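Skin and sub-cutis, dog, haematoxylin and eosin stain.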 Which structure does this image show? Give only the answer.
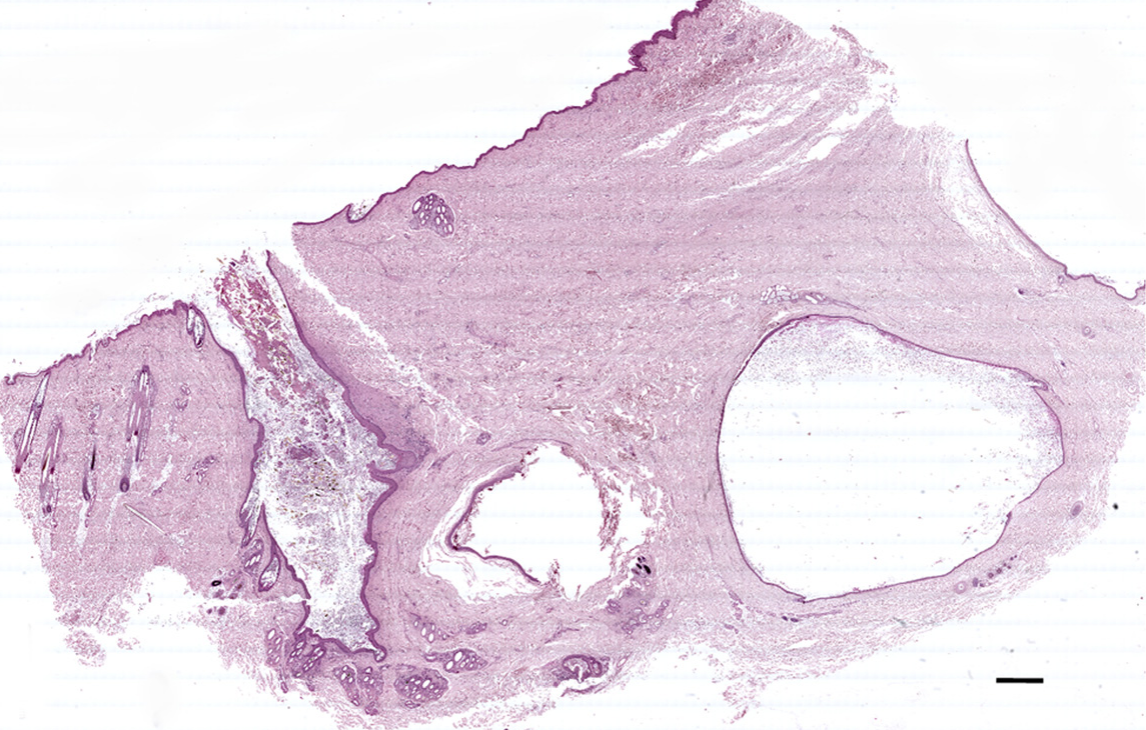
dermoid sinus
